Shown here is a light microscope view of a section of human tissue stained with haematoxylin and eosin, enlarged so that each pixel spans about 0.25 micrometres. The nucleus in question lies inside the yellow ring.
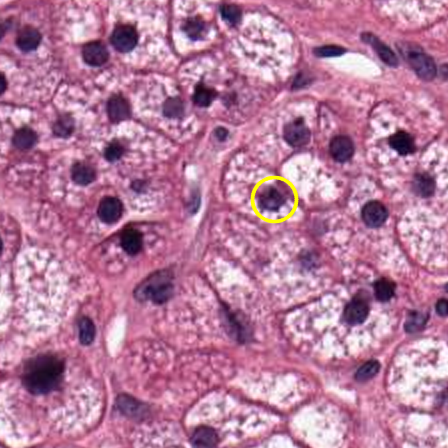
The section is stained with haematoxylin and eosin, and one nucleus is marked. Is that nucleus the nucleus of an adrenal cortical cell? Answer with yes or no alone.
yes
